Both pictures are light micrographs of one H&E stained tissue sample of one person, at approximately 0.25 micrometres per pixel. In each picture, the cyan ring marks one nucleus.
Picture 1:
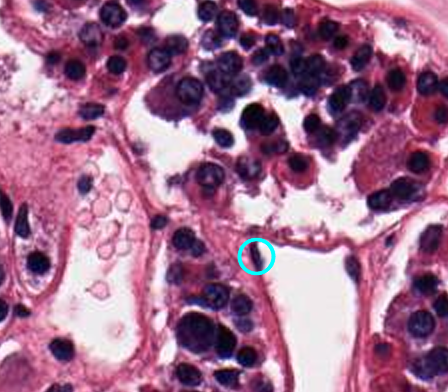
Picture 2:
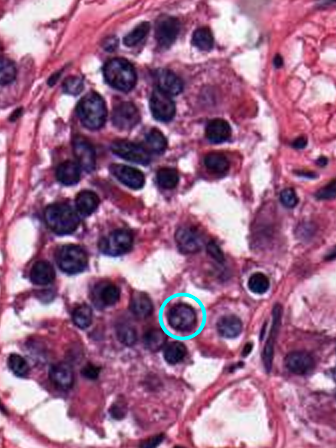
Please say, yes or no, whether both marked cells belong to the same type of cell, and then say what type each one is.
No, the first is an endothelial cell and the second an anterior pituitary cell.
